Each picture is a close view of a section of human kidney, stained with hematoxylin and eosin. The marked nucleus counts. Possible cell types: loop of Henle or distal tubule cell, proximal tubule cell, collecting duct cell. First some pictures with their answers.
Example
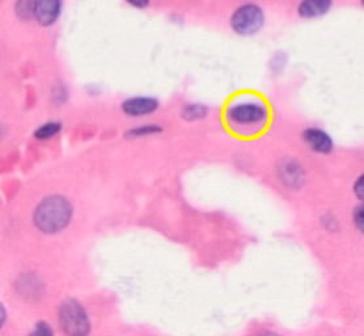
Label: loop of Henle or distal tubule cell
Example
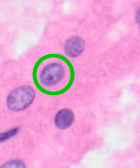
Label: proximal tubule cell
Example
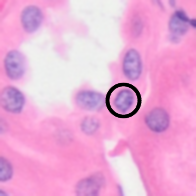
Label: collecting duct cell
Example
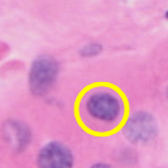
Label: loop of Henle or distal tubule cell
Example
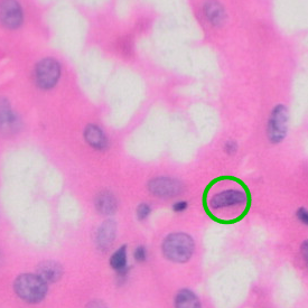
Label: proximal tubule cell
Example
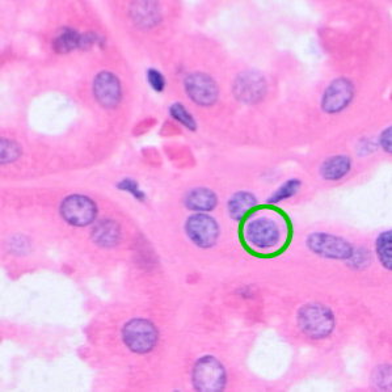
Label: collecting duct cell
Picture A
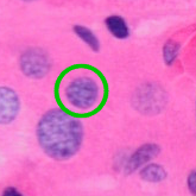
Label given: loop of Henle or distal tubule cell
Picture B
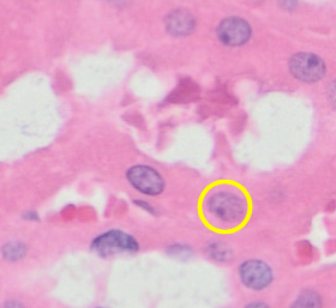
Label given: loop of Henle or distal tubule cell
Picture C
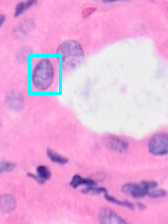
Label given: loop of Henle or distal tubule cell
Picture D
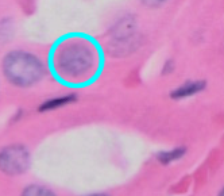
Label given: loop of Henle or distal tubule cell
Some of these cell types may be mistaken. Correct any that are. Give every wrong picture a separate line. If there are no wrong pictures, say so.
B: proximal tubule cell, not loop of Henle or distal tubule cell
D: collecting duct cell, not loop of Henle or distal tubule cell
